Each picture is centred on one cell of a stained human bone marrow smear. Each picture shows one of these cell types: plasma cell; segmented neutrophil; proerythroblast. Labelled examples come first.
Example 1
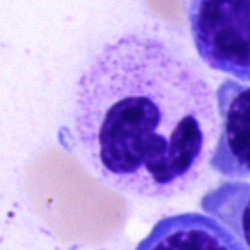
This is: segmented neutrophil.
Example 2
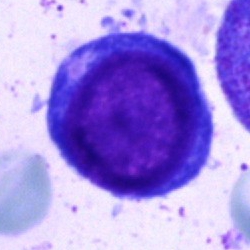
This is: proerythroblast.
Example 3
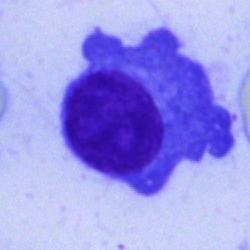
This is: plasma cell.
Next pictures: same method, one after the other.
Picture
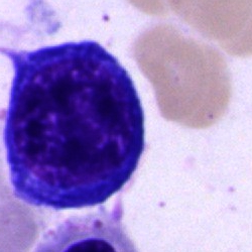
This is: proerythroblast.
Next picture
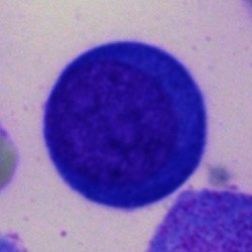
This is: proerythroblast.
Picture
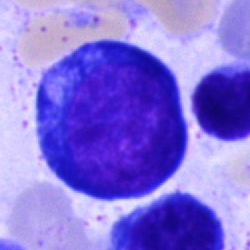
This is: proerythroblast.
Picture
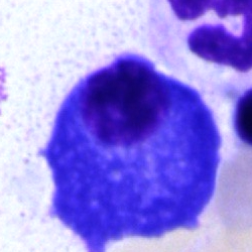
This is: plasma cell.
